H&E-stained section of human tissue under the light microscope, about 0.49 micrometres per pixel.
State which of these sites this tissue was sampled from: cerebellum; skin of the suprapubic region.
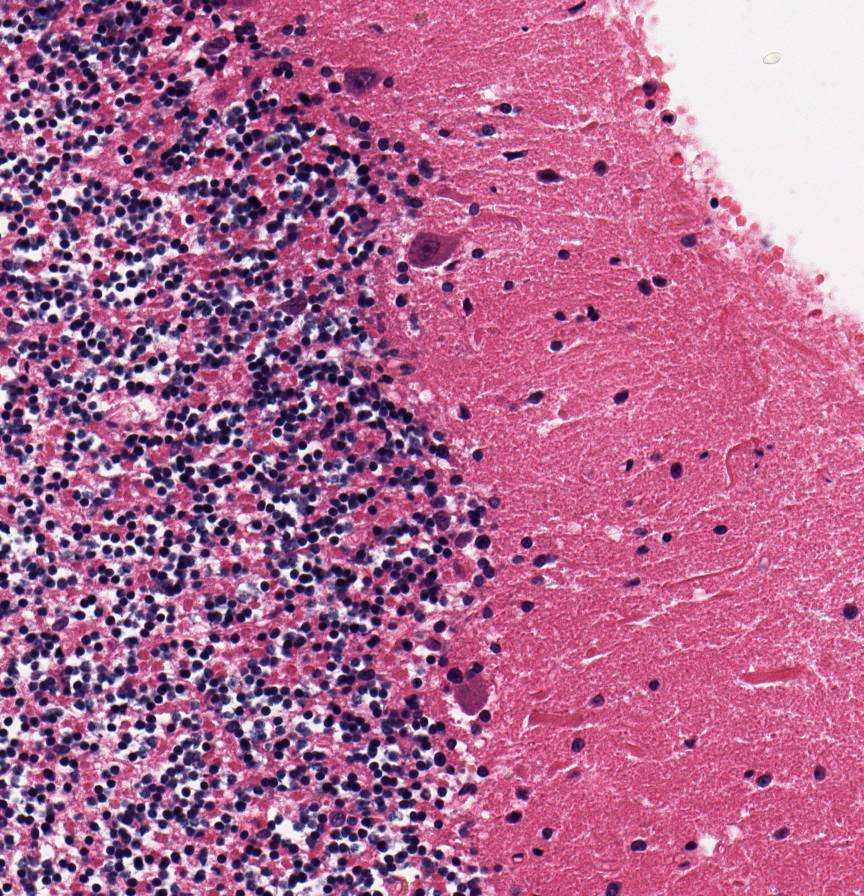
cerebellum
